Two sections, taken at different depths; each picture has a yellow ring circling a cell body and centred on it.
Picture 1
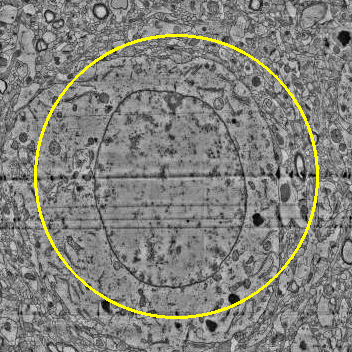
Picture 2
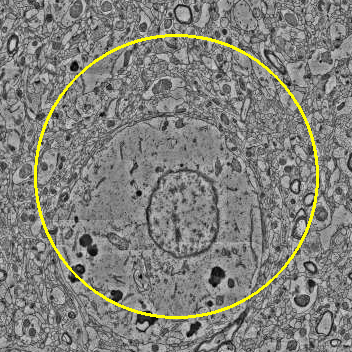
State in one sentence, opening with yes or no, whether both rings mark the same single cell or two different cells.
No, the two rings indicate two different cells, not one.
